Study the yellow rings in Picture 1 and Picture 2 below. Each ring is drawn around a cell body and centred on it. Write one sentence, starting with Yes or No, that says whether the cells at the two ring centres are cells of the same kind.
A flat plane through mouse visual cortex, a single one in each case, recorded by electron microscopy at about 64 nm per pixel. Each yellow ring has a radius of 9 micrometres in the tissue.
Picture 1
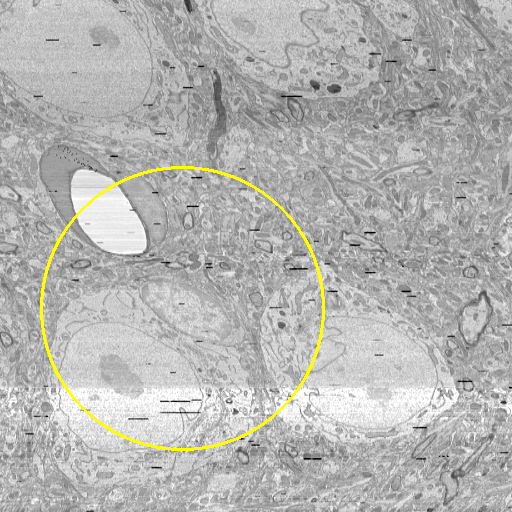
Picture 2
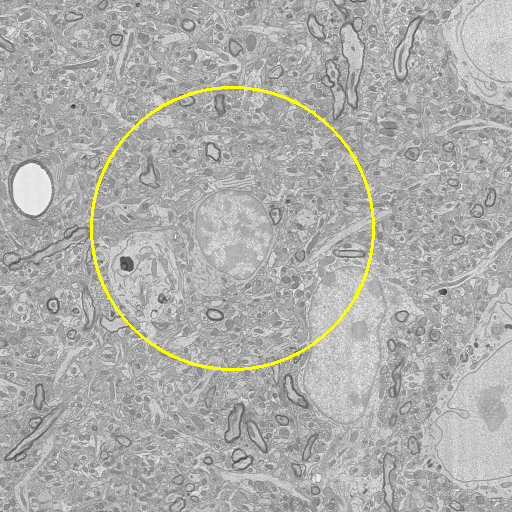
Yes, the cells at both ring centres are of the same kind.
